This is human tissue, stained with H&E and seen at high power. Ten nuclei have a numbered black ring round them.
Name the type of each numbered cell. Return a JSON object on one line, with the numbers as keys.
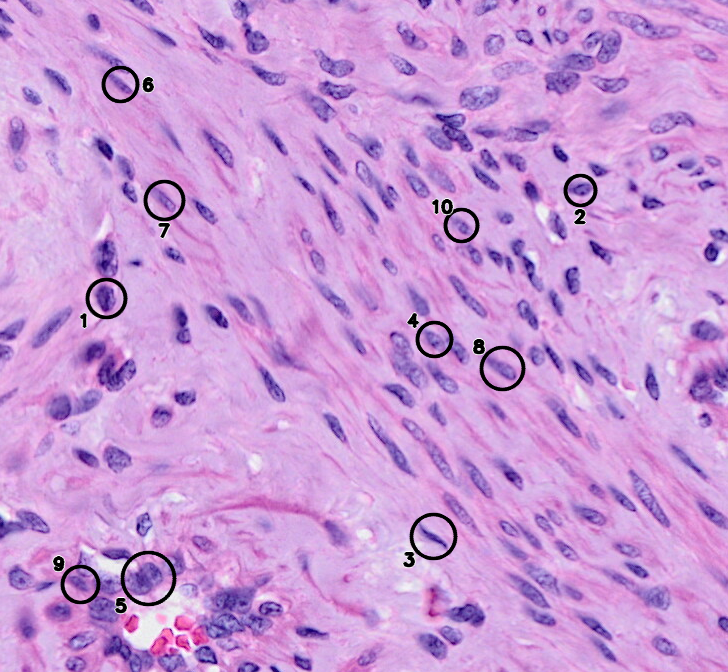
{"1": "lymphocyte", "2": "fibroblast", "3": "fibroblast", "4": "smooth muscle cell", "5": "endothelial cell", "6": "smooth muscle cell", "7": "smooth muscle cell", "8": "smooth muscle cell", "9": "endothelial cell", "10": "smooth muscle cell"}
